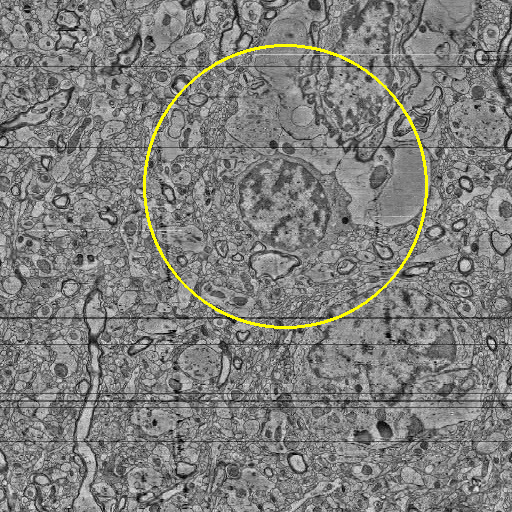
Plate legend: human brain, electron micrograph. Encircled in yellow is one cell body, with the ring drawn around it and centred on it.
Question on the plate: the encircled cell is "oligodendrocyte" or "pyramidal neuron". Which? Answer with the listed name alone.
oligodendrocyte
